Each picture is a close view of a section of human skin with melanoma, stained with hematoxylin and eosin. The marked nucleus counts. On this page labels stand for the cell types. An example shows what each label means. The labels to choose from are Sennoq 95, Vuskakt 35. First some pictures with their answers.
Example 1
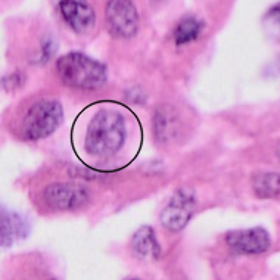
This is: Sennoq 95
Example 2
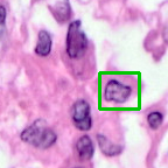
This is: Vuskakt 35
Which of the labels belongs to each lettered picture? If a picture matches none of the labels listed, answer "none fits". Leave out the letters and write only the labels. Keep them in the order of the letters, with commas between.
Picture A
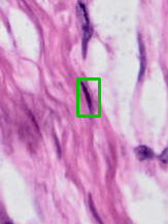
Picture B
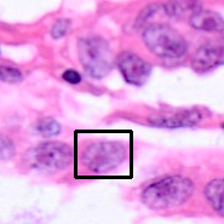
none fits, Sennoq 95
